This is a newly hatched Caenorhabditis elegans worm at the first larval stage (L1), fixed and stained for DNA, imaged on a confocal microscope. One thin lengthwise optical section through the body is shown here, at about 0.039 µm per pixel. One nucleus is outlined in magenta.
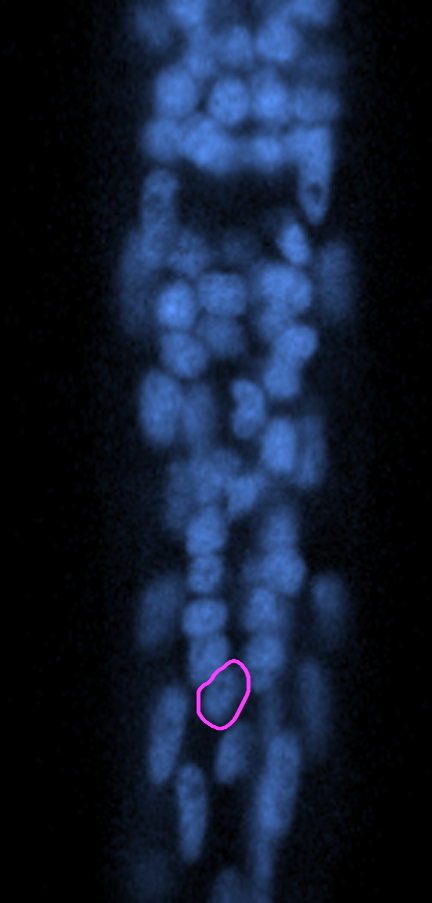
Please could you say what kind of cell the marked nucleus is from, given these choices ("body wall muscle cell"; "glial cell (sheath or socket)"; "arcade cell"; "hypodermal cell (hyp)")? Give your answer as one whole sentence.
It is the nucleus of a hypodermal cell (hyp).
